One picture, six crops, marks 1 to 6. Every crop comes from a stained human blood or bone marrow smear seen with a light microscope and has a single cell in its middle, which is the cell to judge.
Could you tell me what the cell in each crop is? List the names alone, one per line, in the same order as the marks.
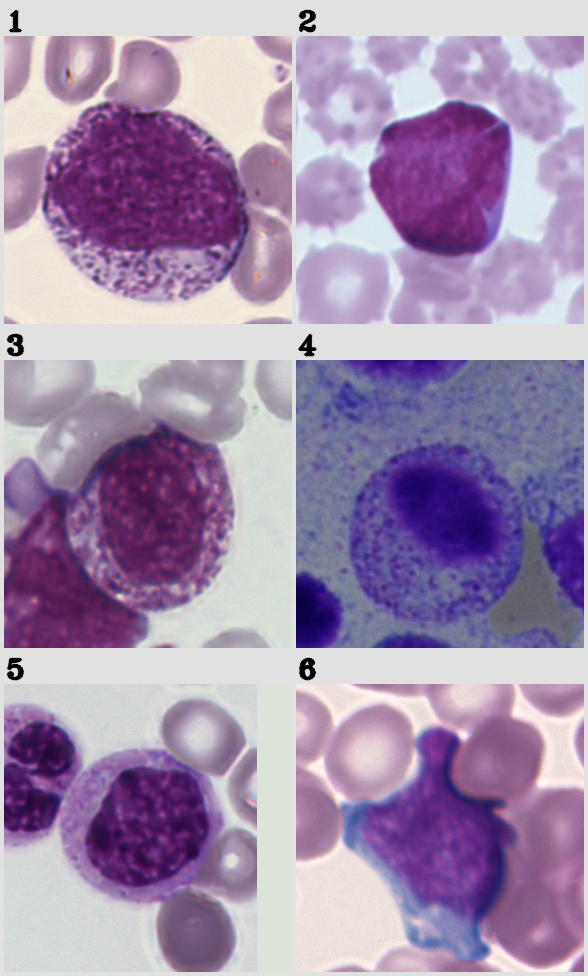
myelocyte
blast
myelocyte
myelocyte
myelocyte
blast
